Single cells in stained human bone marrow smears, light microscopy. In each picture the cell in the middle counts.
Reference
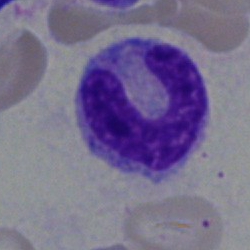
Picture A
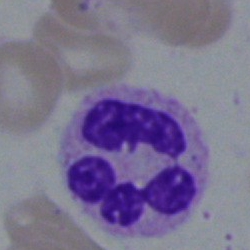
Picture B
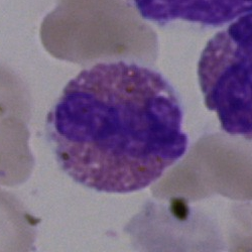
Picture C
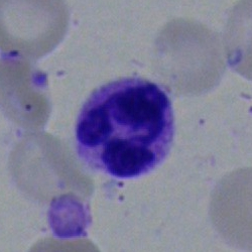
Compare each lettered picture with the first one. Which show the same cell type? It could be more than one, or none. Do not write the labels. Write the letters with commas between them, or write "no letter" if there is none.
no letter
